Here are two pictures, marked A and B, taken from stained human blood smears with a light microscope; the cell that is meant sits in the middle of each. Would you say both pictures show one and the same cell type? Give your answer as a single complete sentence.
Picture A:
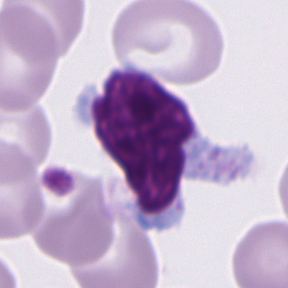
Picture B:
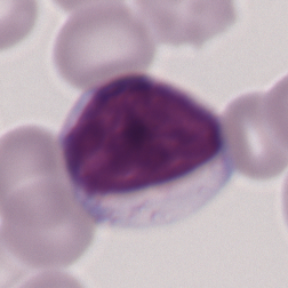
Yes, they are the same type: both are large granular lymphocytes.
